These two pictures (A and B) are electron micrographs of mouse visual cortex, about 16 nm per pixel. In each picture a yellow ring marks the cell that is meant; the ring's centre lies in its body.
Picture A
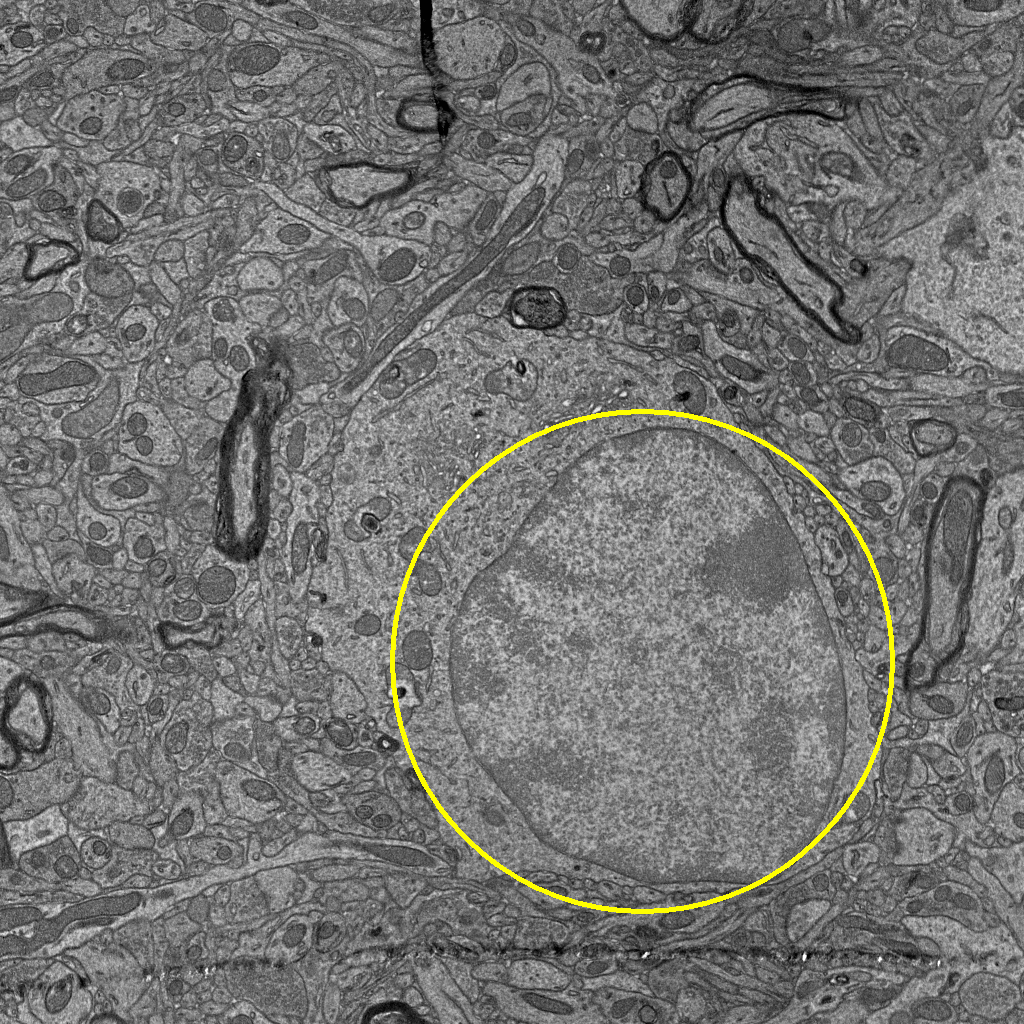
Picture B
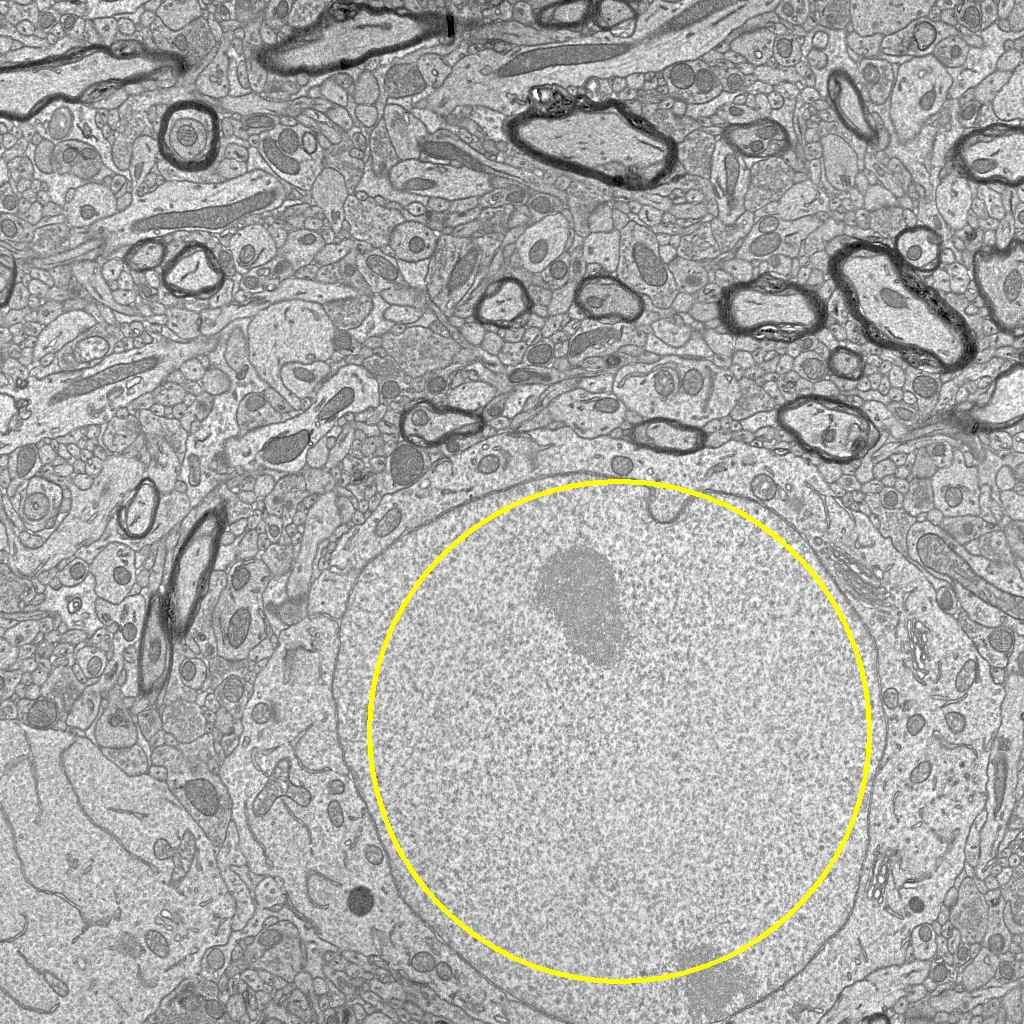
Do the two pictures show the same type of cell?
No, they differ: the cell is an oligodendrocyte in picture A and an excitatory neuron in picture B.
